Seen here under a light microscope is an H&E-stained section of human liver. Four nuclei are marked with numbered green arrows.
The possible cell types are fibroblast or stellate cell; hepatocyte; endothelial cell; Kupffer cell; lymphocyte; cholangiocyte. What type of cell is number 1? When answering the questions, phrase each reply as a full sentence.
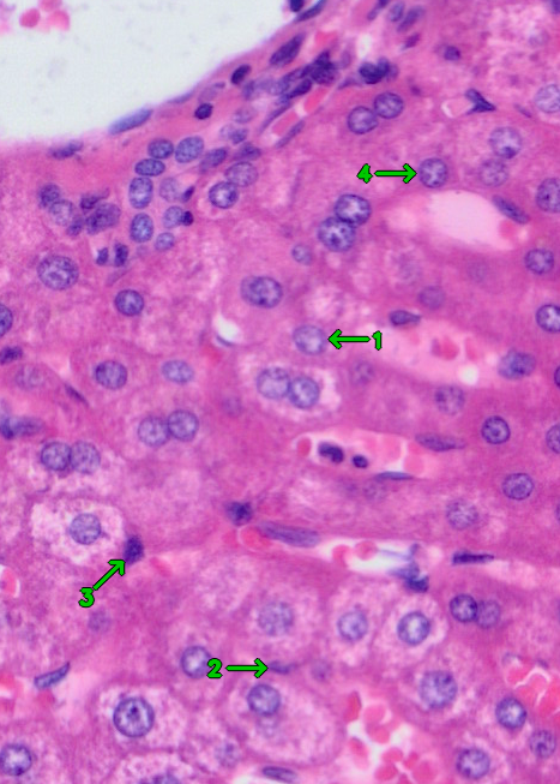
The cell given label 1 is a hepatocyte.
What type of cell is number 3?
The nucleus labelled 3 belongs to a fibroblast or stellate cell.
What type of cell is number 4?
Number 4 among the marked cells is a hepatocyte.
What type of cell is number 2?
The one numbered 2 among the marked cells is a fibroblast or stellate cell.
